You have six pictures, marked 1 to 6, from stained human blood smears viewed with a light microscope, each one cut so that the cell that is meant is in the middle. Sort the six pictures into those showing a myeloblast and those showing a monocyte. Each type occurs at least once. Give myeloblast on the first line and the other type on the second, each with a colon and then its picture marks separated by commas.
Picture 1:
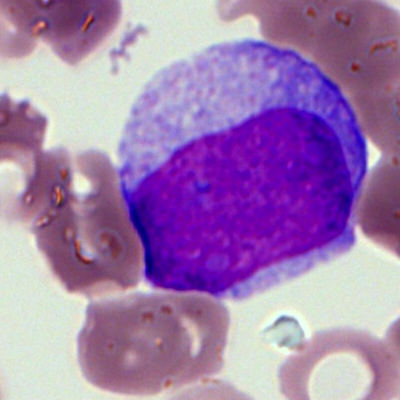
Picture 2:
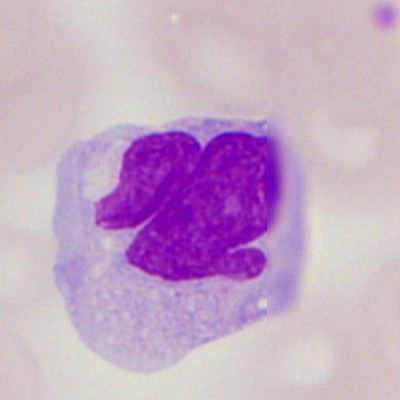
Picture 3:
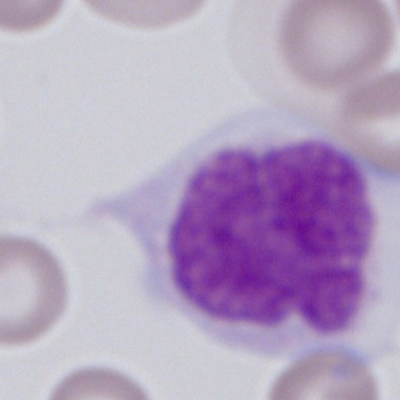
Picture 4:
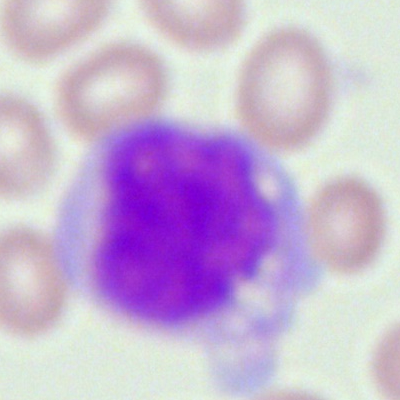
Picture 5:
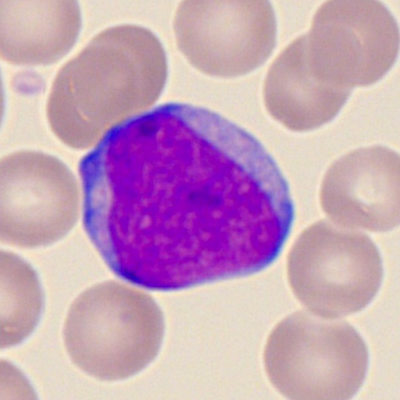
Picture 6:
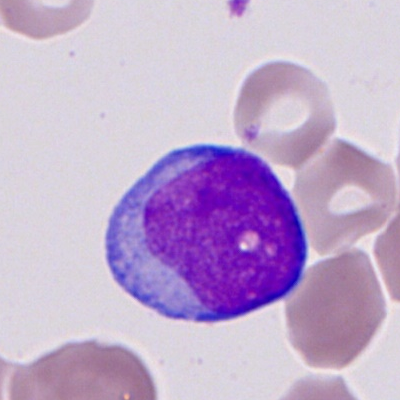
myeloblast: 1, 5, 6
monocyte: 2, 3, 4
